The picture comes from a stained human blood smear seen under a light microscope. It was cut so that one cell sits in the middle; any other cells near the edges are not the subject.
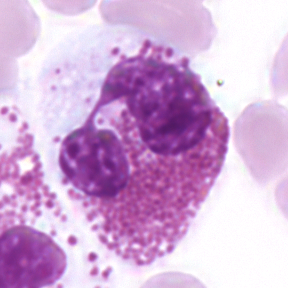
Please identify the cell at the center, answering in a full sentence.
The cell under consideration, at the middle of the crop, is an eosinophil.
